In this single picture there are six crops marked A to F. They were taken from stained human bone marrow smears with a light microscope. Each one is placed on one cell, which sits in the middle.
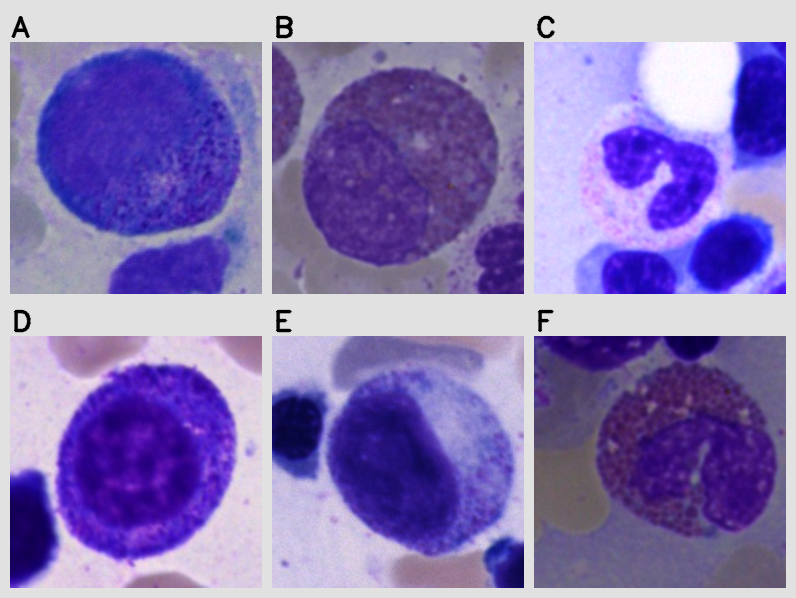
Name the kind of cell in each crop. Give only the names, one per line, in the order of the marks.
promyelocyte
eosinophil
segmented neutrophil
promyelocyte
promyelocyte
eosinophil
